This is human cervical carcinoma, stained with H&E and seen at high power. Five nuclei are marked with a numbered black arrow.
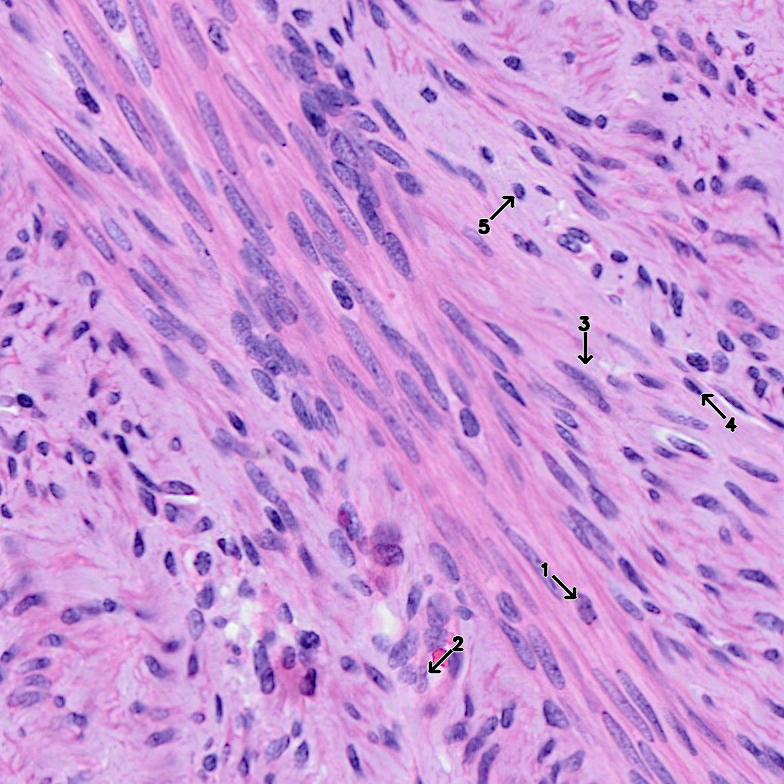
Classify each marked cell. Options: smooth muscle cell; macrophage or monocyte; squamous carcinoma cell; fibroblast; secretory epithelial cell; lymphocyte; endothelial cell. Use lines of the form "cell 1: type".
cell 1: smooth muscle cell
cell 2: endothelial cell
cell 3: smooth muscle cell
cell 4: fibroblast
cell 5: fibroblast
